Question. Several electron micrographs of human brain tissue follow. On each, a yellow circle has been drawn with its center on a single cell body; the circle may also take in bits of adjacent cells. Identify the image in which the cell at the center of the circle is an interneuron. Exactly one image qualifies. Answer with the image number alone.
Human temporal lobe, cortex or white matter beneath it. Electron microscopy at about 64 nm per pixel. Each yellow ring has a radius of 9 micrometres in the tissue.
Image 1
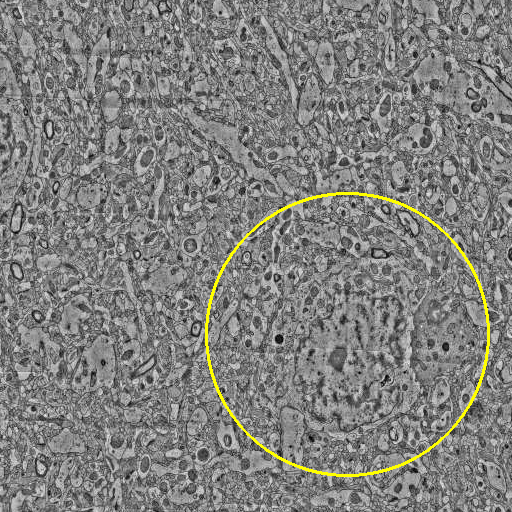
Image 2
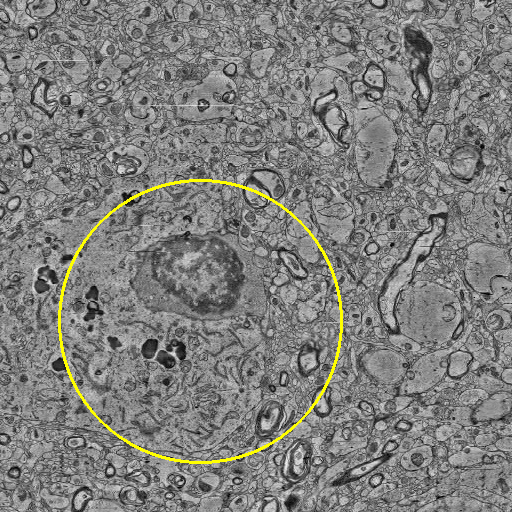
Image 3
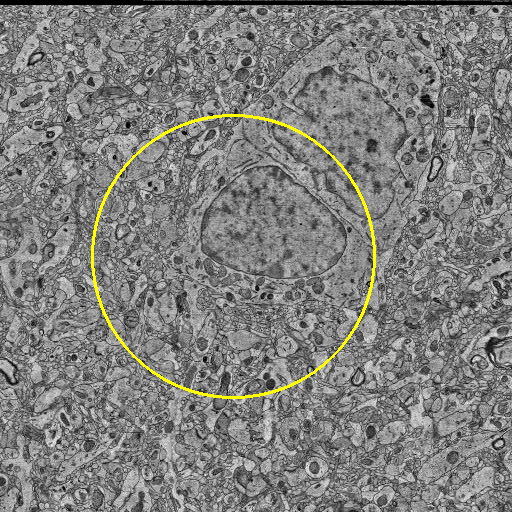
1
